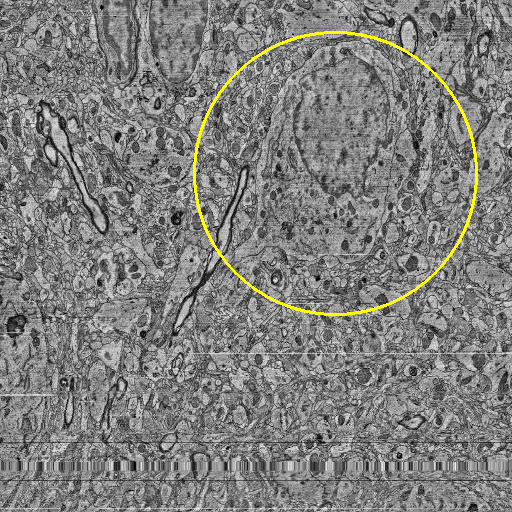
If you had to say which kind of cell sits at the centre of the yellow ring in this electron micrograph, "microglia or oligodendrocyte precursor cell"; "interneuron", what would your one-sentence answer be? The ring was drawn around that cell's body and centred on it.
The cell sitting at the centre of the ring is an interneuron.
